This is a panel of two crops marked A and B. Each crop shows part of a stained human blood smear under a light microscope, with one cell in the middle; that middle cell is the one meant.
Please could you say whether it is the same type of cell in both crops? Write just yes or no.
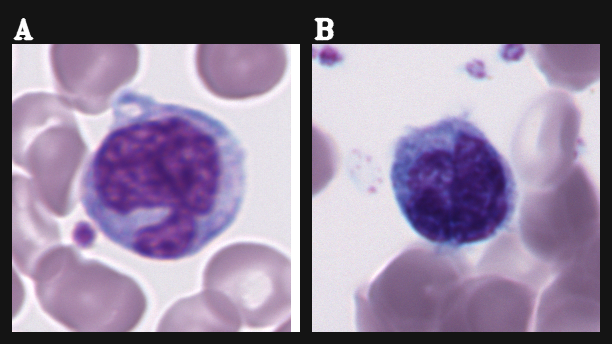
yes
